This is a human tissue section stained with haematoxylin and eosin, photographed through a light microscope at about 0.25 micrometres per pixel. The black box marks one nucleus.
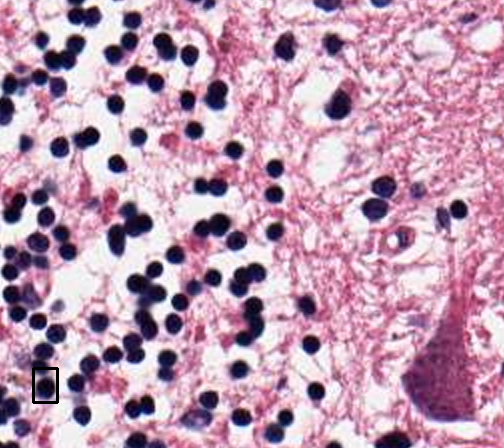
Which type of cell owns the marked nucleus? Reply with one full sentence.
The marked nucleus here is the nucleus of a cerebellar granule cell.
